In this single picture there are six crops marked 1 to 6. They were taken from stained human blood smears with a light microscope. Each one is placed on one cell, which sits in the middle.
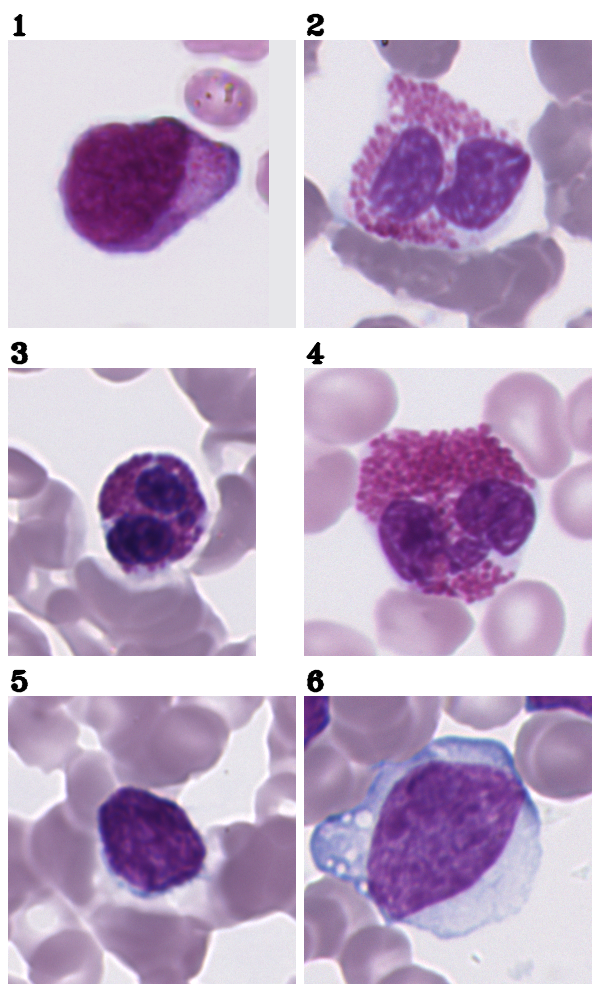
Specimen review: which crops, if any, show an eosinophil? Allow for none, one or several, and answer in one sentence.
What crops 2, 3 and 4 show in the middle are eosinophils.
